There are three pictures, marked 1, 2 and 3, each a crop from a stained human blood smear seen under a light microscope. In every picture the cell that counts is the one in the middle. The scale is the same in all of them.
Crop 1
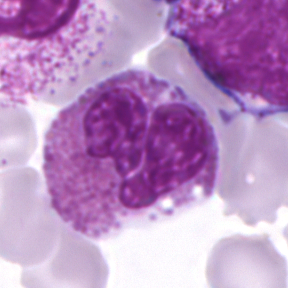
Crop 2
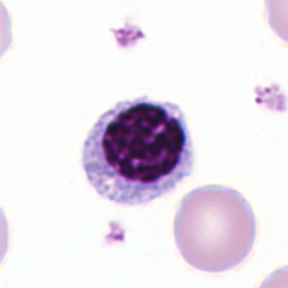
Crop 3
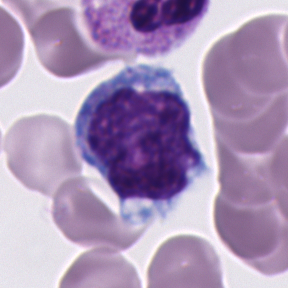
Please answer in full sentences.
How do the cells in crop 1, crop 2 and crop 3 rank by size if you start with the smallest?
From the smallest up, the order is 2, 3, 1.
